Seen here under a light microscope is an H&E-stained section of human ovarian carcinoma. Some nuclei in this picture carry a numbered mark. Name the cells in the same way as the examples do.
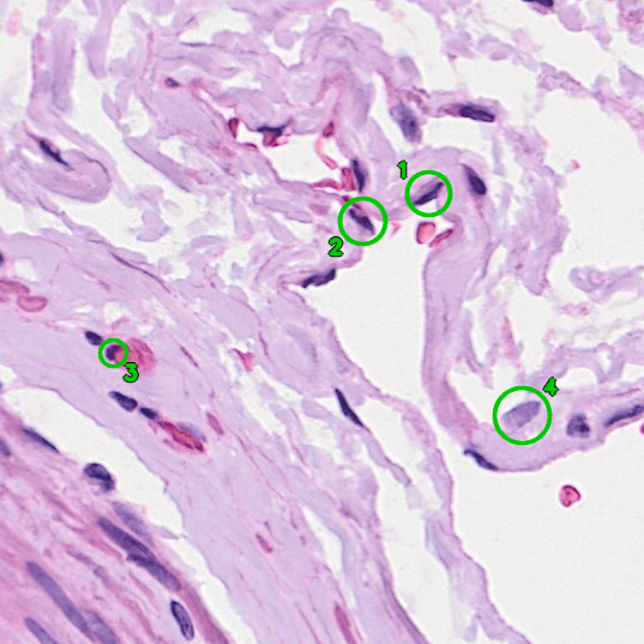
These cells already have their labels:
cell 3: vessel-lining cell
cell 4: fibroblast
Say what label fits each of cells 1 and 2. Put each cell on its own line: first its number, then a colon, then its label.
1: vessel-lining cell
2: vessel-lining cell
